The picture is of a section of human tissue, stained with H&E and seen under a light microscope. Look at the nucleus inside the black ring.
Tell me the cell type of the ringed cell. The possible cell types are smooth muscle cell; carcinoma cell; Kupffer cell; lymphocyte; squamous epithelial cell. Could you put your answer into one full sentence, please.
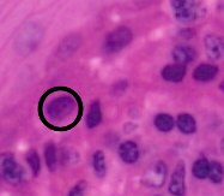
Typologically, the ringed cell is a squamous epithelial cell in this section.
